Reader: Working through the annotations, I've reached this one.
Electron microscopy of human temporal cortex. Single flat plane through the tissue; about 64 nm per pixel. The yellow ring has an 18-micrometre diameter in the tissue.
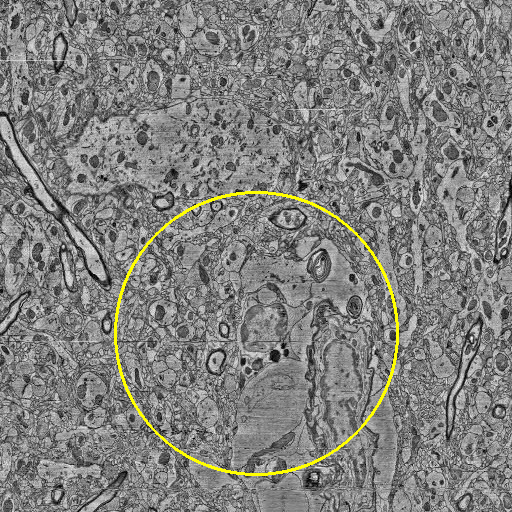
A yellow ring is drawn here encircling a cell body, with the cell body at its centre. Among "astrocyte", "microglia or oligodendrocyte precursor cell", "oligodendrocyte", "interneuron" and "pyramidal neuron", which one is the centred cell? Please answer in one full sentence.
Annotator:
The cell body at the centre of the yellow ring in this image belongs to a microglial cell or oligodendrocyte precursor cell.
